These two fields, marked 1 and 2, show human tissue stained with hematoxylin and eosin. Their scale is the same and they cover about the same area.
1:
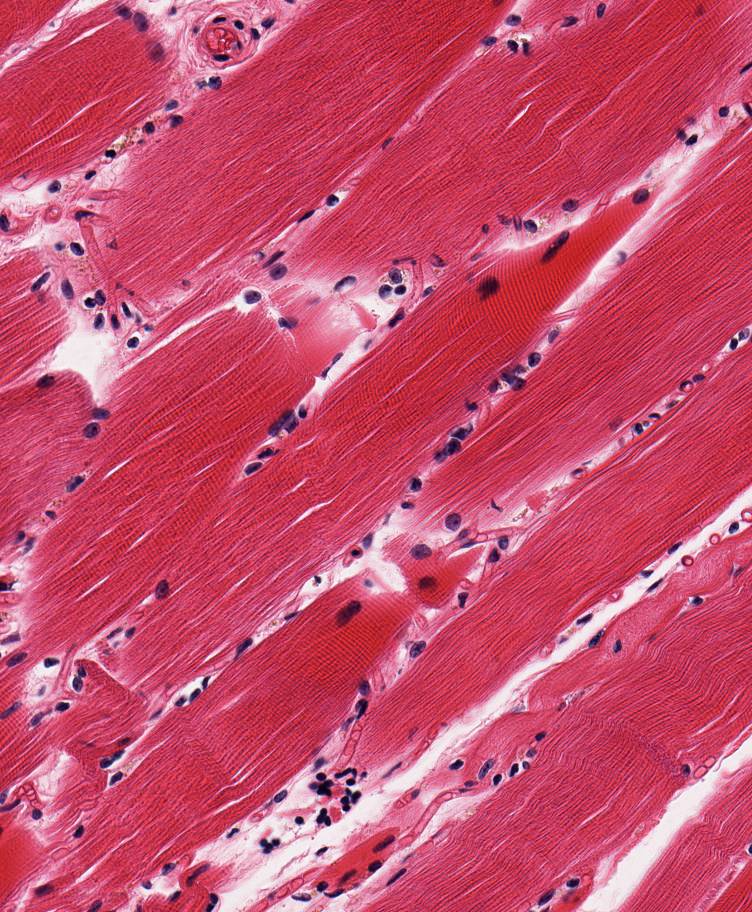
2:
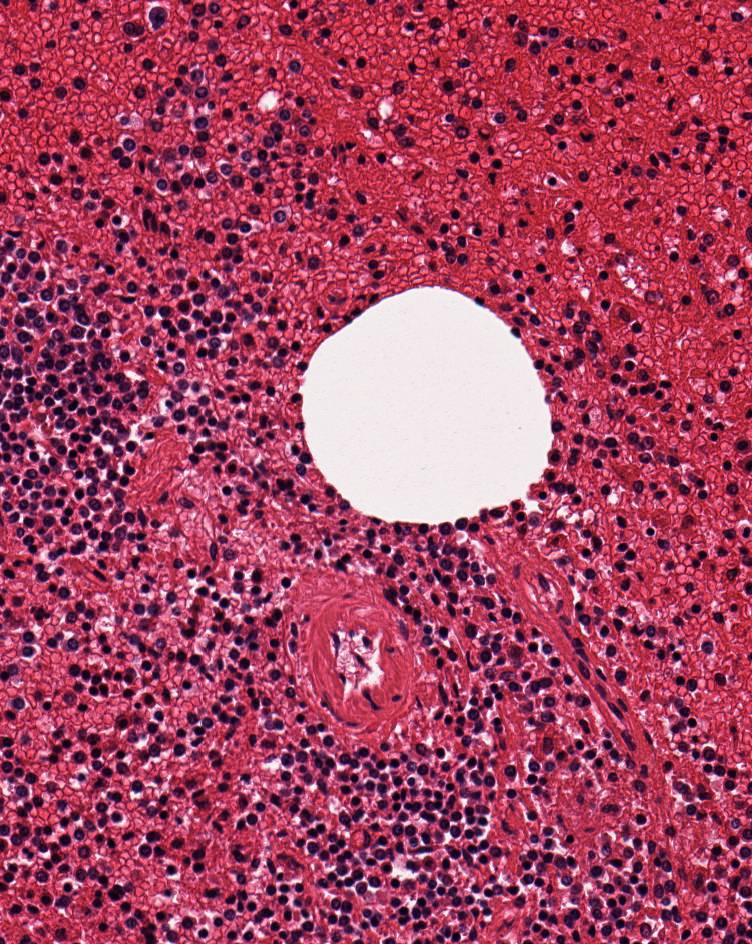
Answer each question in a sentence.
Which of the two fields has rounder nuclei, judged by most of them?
The nuclei are rounder in field 2.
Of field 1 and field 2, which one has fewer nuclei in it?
There are fewer nuclei in field 1.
